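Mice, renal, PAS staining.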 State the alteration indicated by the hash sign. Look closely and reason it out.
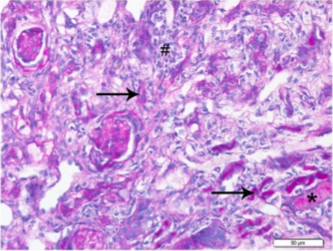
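Inflammatory cell infiltration. Dense crowd of small dark nuclei in the interstitium near the hash sign. Normal tubular outlines are lost in that area.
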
